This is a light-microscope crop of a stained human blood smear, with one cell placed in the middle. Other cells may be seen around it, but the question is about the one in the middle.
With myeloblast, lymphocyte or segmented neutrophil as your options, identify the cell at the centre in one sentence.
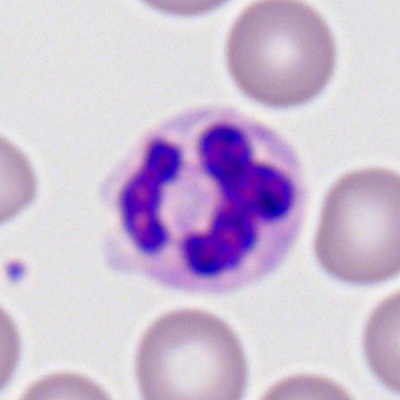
As for the cell in the middle, it is a segmented neutrophil.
